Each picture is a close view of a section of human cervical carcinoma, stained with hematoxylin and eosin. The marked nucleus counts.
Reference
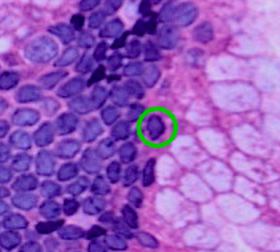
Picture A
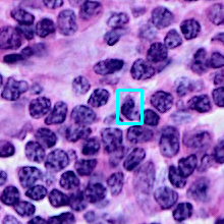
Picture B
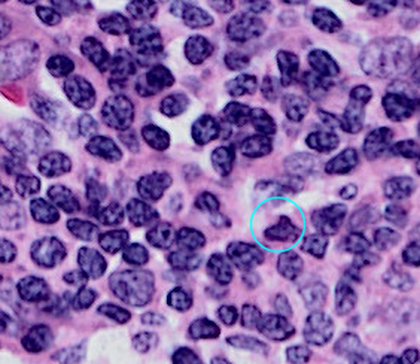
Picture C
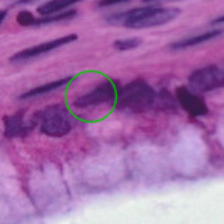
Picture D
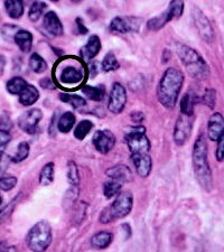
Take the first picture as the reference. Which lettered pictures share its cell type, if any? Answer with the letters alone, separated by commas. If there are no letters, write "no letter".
C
